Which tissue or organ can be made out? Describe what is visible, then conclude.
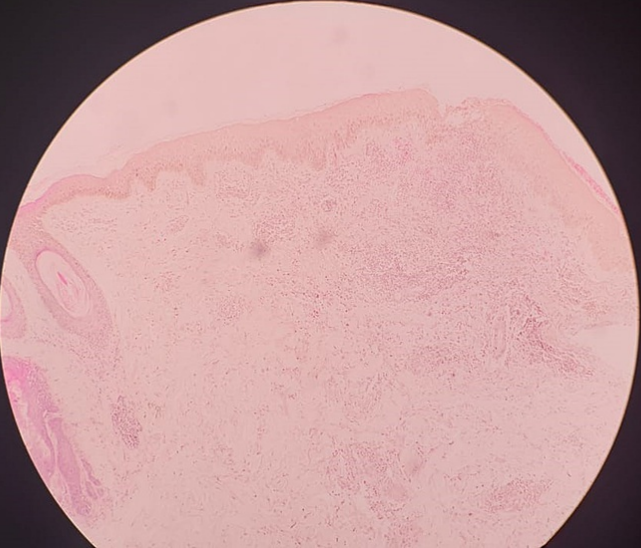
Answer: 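A thin stratified epithelial layer runs along the top surface with downward projections into the tissue beneath. Cross-sectioned hair follicles with concentric layers lie at the left edge. A broad fibrous layer with scattered cells lies beneath the surface epithelium.
Conclusion: skin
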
